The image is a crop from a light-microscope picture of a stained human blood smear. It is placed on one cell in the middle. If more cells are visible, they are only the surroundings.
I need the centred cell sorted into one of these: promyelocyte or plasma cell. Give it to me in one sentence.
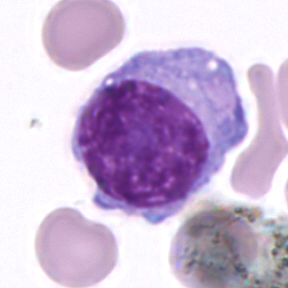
On this slide crop, the central cell is a plasma cell.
